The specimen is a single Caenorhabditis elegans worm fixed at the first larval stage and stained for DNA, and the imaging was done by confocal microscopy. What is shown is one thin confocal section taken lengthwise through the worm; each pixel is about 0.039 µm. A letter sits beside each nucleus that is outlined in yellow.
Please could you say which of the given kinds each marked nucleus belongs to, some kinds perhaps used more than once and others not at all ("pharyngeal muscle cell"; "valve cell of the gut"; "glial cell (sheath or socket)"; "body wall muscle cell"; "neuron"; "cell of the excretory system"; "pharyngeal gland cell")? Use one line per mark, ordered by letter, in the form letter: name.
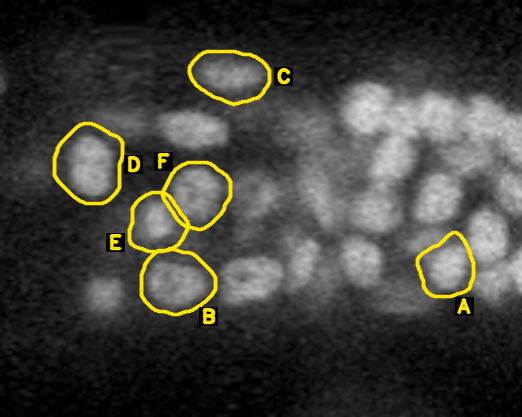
A: neuron
B: cell of the excretory system
C: body wall muscle cell
D: valve cell of the gut
E: pharyngeal gland cell
F: pharyngeal muscle cell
